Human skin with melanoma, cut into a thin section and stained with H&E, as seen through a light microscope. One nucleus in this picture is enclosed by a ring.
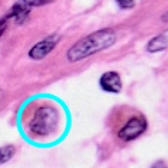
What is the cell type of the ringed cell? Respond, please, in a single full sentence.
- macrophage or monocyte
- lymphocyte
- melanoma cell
Cytologically, the ringed cell is to be regarded as a macrophage or monocyte.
